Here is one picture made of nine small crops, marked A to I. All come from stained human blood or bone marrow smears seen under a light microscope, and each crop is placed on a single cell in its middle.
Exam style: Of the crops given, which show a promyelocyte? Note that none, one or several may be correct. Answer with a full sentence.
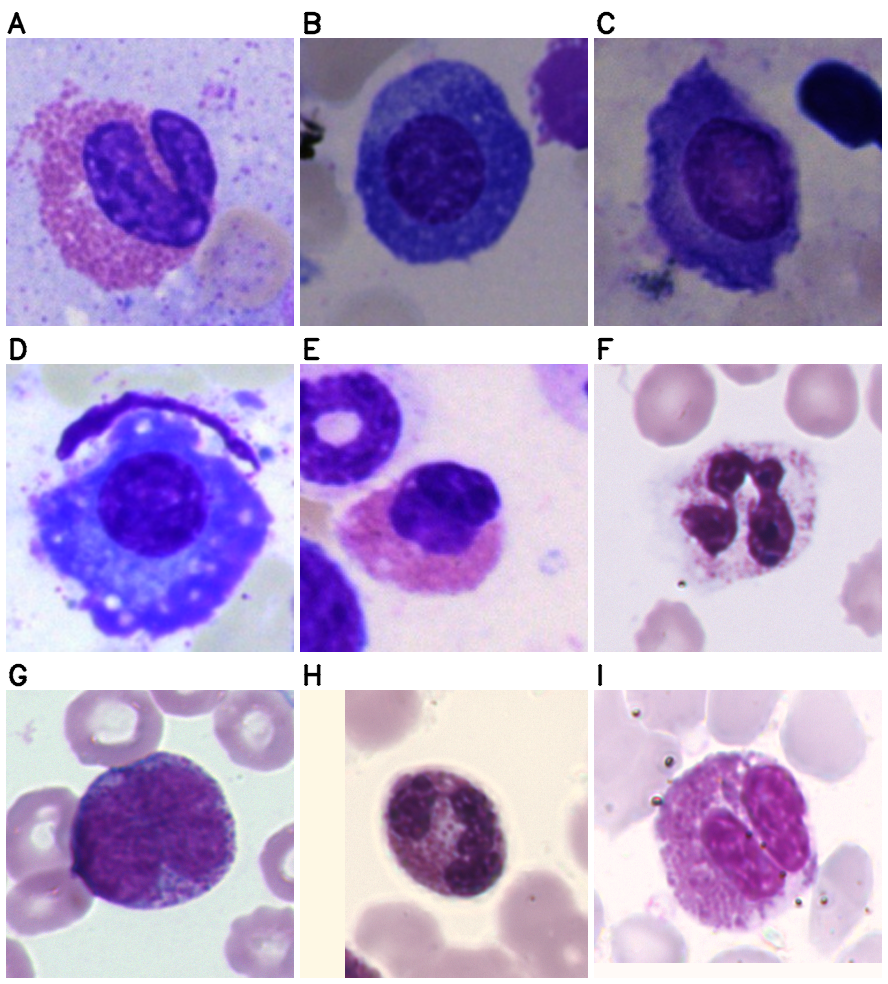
Of the crops shown, crop G is the one and only crop with a promyelocyte.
